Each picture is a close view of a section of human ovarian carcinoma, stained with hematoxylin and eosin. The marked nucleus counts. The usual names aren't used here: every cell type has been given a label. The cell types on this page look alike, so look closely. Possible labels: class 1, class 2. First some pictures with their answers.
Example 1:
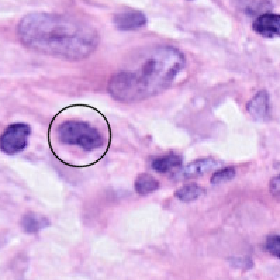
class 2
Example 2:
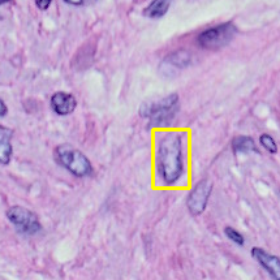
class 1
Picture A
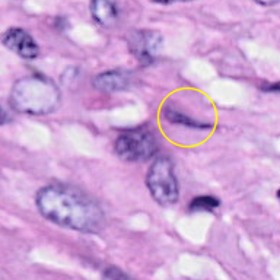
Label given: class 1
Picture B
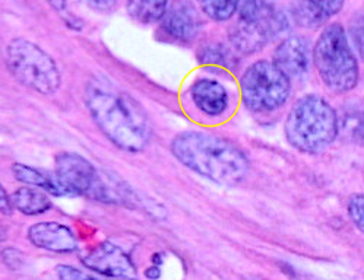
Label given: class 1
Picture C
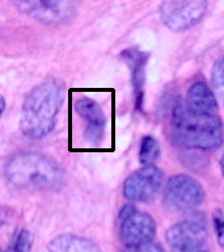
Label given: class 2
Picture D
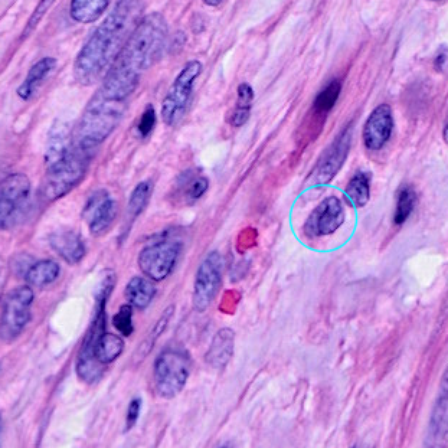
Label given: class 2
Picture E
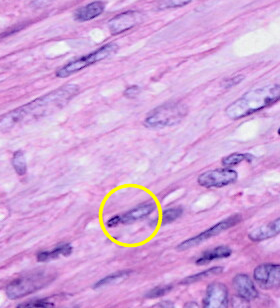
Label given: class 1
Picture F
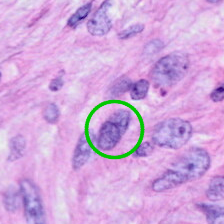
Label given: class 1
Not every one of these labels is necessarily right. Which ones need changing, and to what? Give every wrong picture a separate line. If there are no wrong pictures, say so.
B: not class 1 but class 2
